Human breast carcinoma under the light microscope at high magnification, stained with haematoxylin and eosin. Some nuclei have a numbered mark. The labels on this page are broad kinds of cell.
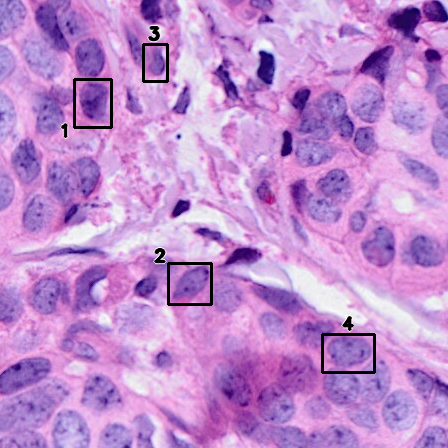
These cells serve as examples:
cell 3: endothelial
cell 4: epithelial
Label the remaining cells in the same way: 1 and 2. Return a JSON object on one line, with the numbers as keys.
{"1": "epithelial", "2": "epithelial"}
